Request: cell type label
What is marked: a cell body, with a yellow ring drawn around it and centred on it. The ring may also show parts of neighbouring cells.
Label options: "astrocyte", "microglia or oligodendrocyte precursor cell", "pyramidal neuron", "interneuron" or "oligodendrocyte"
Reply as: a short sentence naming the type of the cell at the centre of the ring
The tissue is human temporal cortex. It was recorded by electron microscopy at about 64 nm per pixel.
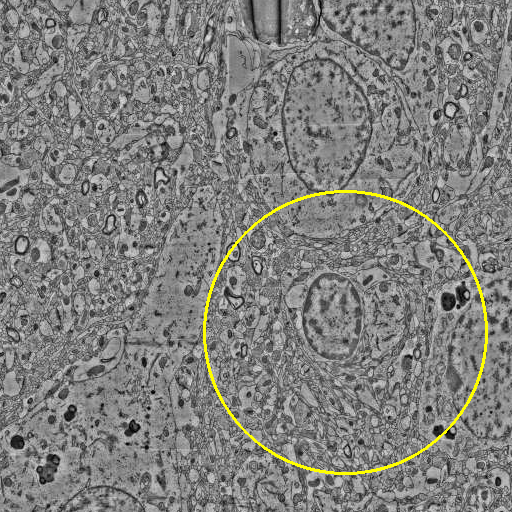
The marked cell body is that of a microglial cell or oligodendrocyte precursor cell.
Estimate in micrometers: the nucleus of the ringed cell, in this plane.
The nucleus appears roughly 5 by 4 micrometres in this plane.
